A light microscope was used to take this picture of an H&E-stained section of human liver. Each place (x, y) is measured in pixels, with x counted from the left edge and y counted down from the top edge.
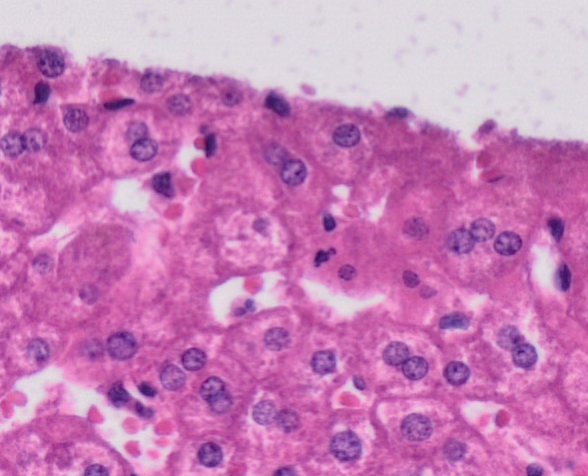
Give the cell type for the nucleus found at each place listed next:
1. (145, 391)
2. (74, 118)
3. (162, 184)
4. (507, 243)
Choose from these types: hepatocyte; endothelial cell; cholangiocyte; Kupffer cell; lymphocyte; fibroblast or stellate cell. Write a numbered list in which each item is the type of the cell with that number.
1. fibroblast or stellate cell
2. hepatocyte
3. Kupffer cell
4. hepatocyte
